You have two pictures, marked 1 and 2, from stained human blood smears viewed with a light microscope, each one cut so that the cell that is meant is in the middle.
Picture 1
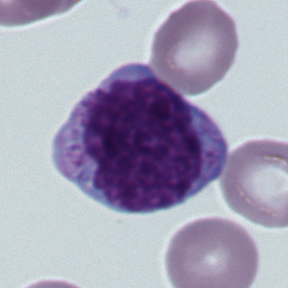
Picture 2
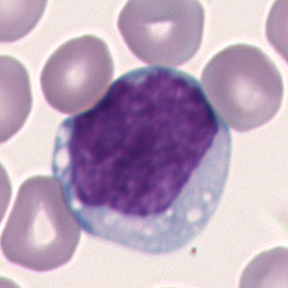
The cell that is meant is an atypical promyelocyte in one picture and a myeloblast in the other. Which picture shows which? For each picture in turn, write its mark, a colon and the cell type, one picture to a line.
1: atypical promyelocyte
2: myeloblast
